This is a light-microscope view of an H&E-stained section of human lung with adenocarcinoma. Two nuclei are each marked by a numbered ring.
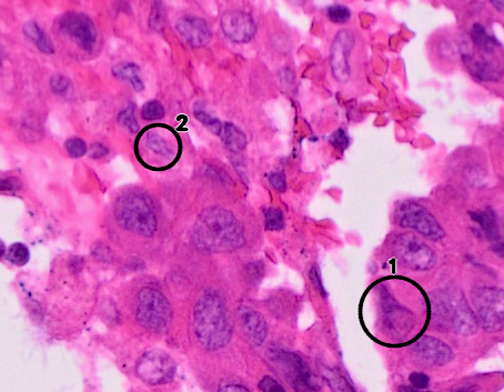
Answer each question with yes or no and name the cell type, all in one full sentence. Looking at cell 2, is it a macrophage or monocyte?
Yes, the cell numbered 2 in this tissue is a macrophage or monocyte.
